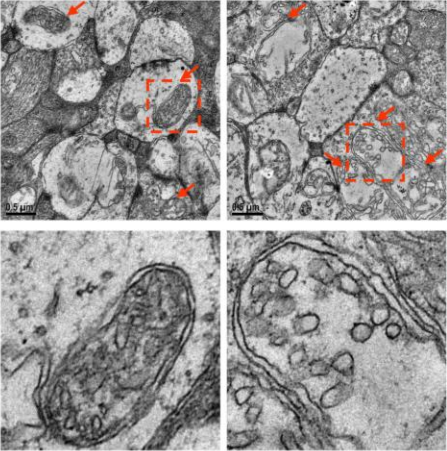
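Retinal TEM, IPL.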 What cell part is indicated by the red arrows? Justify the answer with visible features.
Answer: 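Mitochondria. The red arrows point to oval organelles bounded by a double membrane. The enlarged organelle at lower left holds many folded internal membranes.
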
